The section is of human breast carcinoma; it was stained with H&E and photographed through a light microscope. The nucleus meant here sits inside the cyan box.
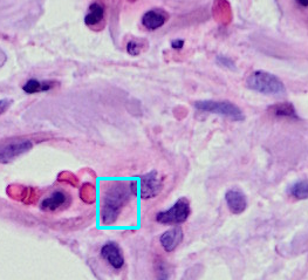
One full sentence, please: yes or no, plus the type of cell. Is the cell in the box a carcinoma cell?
No, by cell type the cell in the box is an endothelial cell, not a carcinoma cell.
